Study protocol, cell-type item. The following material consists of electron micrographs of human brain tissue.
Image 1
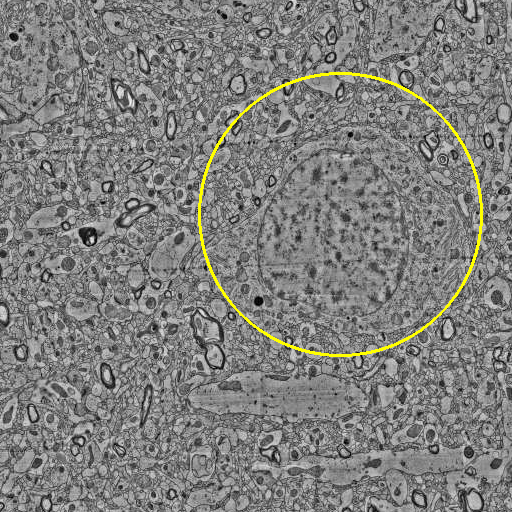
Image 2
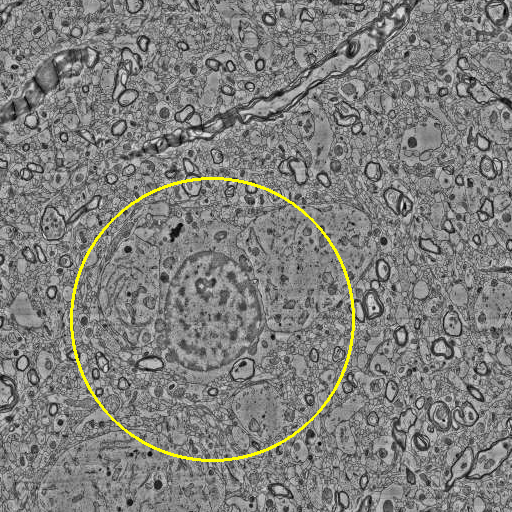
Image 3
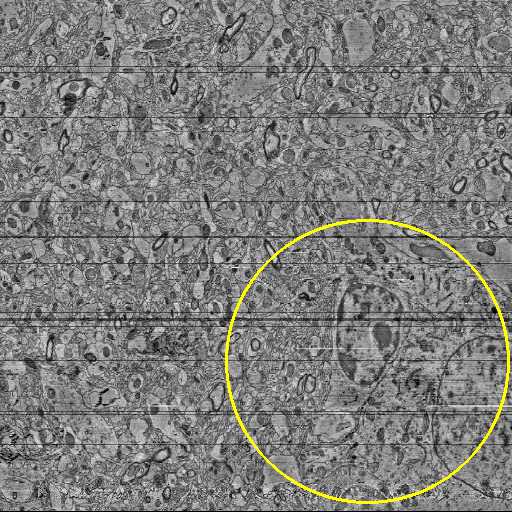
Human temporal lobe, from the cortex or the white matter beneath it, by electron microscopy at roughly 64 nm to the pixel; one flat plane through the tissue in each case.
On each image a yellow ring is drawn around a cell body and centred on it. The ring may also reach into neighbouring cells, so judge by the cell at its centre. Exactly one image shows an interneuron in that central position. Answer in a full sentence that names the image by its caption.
The cell at the centre of the ring in Image 1 is of that kind.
